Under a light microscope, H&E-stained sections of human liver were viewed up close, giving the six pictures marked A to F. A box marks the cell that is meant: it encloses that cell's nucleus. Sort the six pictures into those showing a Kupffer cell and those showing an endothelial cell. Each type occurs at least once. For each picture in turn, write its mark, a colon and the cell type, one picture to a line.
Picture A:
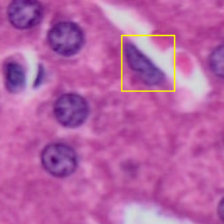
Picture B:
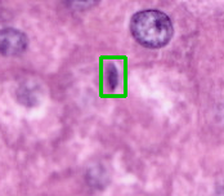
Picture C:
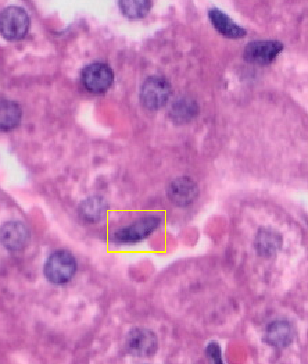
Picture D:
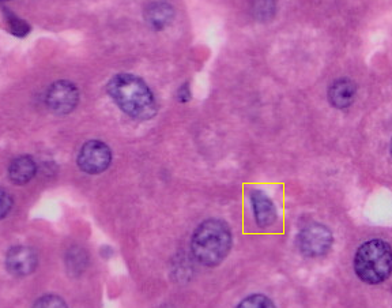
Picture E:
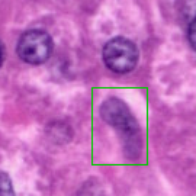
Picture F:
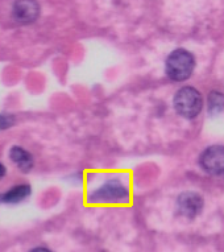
A: Kupffer cell
B: endothelial cell
C: Kupffer cell
D: endothelial cell
E: Kupffer cell
F: endothelial cell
